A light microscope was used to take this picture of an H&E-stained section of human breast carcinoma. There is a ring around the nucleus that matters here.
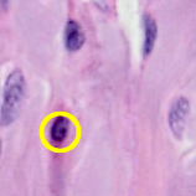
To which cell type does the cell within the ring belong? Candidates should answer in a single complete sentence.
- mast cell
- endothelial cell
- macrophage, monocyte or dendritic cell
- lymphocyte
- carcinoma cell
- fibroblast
In this tissue section, the cell within the ring is to be classed as a mast cell.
